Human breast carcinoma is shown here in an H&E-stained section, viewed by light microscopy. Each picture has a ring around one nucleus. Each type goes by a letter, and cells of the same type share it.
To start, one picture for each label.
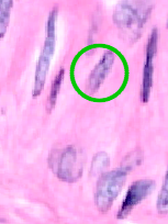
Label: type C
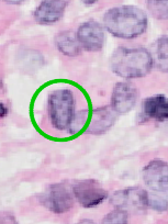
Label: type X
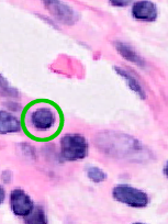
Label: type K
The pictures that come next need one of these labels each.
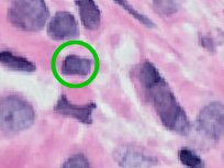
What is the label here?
type K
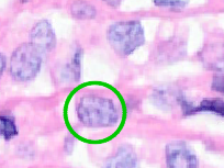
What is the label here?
type X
